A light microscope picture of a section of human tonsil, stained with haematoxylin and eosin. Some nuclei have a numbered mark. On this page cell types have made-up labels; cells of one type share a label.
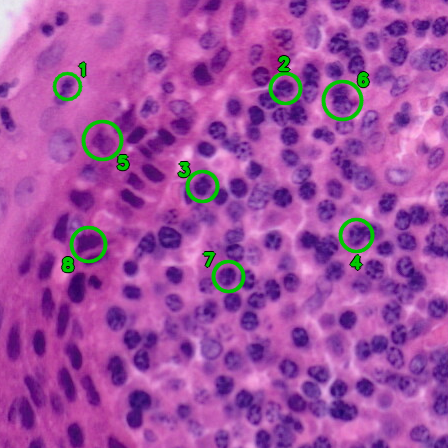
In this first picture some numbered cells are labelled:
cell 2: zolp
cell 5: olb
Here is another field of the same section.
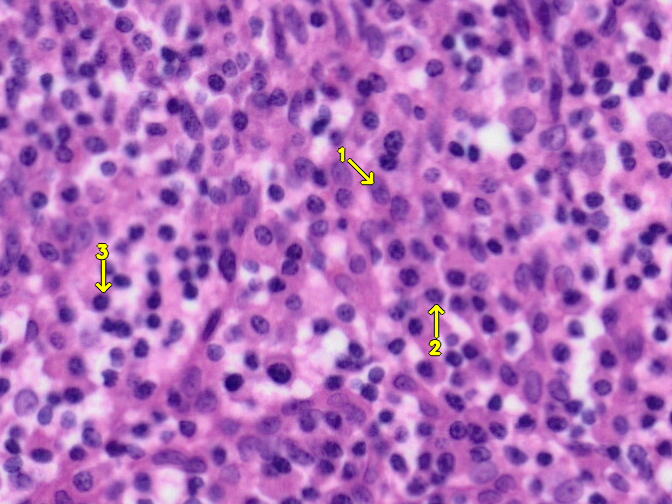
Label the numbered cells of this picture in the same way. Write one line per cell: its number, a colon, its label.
1: olb
2: zolp
3: zolp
